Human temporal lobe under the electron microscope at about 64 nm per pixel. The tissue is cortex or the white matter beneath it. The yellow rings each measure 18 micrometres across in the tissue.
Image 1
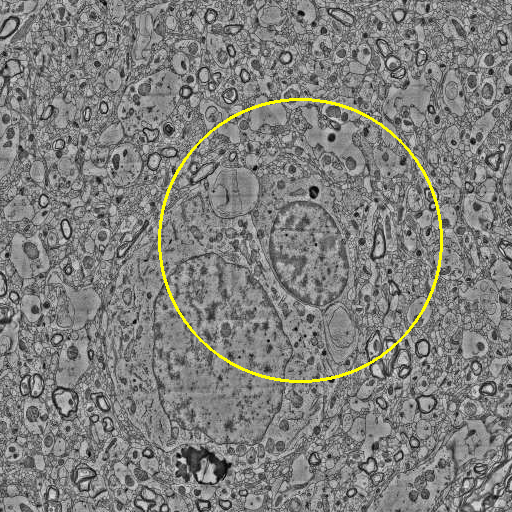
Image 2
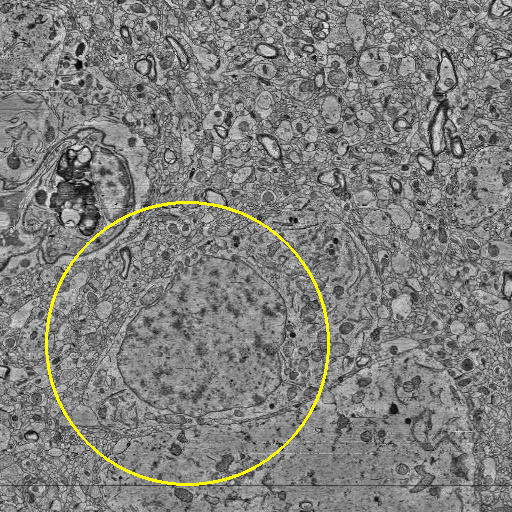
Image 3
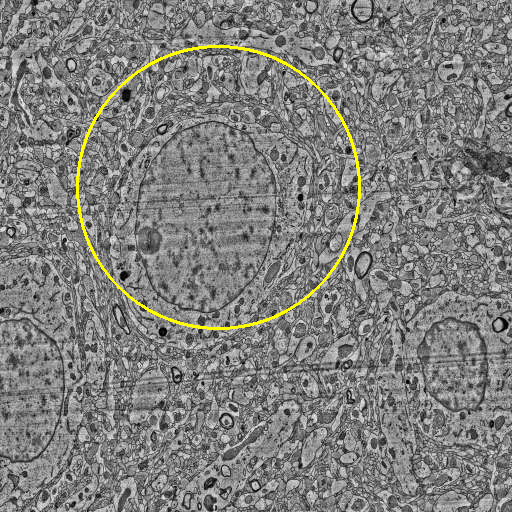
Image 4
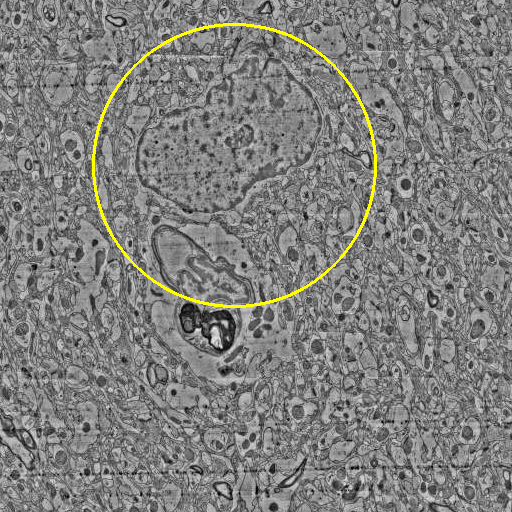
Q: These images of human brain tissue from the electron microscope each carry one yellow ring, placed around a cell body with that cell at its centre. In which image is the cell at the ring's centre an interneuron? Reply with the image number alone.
2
